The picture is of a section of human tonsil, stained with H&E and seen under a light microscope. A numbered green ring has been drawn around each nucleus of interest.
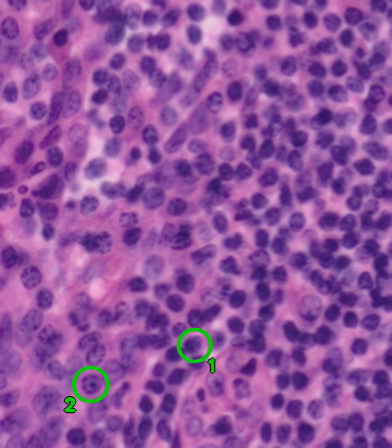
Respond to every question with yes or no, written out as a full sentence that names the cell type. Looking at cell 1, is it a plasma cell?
No, in terms of cell type, cell 1 is a small lymphocyte, not a plasma cell.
